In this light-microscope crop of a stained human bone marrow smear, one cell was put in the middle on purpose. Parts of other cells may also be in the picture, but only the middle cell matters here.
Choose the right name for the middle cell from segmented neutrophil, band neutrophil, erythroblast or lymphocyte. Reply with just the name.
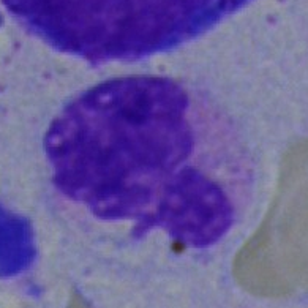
segmented neutrophil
